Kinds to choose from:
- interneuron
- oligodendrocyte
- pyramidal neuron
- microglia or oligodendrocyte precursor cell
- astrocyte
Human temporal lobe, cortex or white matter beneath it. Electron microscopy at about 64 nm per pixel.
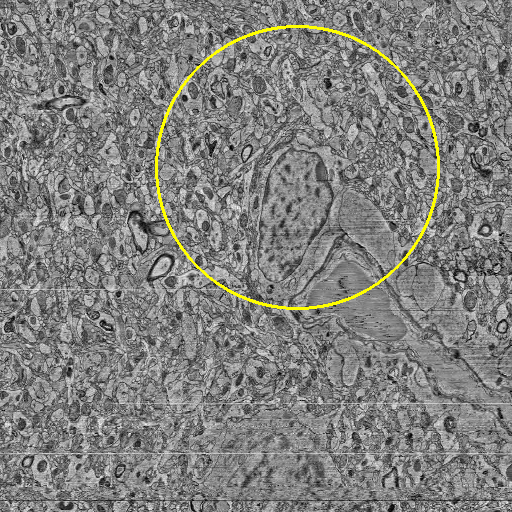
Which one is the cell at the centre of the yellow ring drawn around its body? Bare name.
microglia or oligodendrocyte precursor cell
